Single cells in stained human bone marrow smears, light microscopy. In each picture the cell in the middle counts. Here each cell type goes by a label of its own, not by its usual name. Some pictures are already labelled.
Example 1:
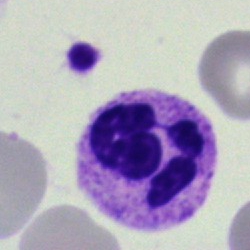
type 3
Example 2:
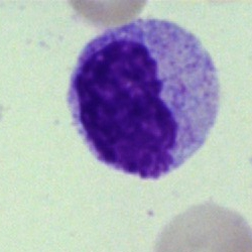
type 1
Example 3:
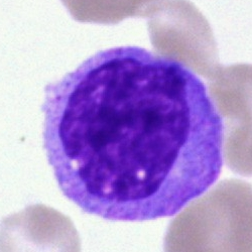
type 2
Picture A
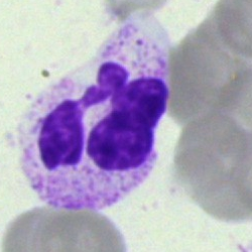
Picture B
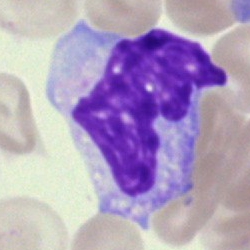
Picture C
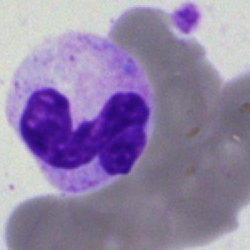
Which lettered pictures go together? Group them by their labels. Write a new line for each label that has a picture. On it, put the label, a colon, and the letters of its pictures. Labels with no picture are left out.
type 3: A, C
type 2: B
